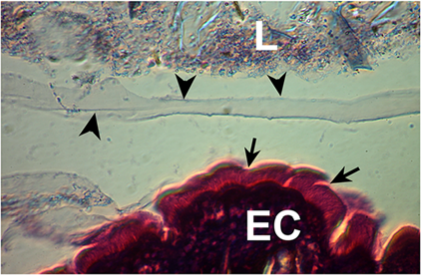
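Midgut epithelium forming a dark purple-red mound of epithelial cells capped by a pinker, finely striated apical border of microvilli. Above it a pale clear space separates the cells from thin, faintly blue membranous sheets lying in parallel layers. Beyond the sheets the lumen is filled with granular bluish material and scattered debris.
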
